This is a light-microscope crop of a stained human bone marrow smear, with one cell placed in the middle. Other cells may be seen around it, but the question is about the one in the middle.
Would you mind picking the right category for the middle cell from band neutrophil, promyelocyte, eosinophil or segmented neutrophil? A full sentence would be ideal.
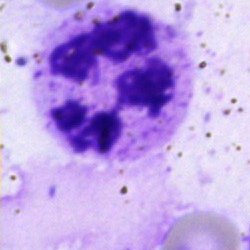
The cell at the middle of the crop is recognized as a segmented neutrophil.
